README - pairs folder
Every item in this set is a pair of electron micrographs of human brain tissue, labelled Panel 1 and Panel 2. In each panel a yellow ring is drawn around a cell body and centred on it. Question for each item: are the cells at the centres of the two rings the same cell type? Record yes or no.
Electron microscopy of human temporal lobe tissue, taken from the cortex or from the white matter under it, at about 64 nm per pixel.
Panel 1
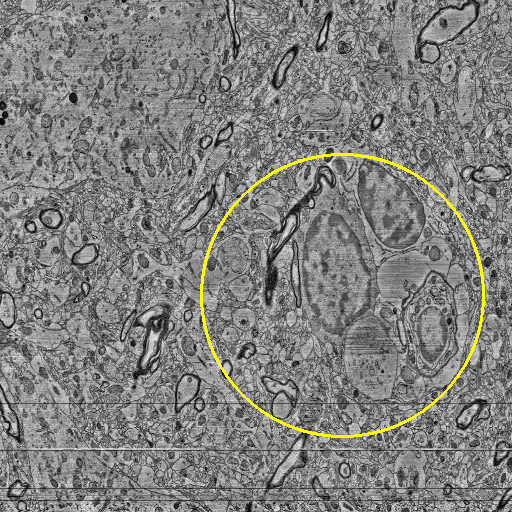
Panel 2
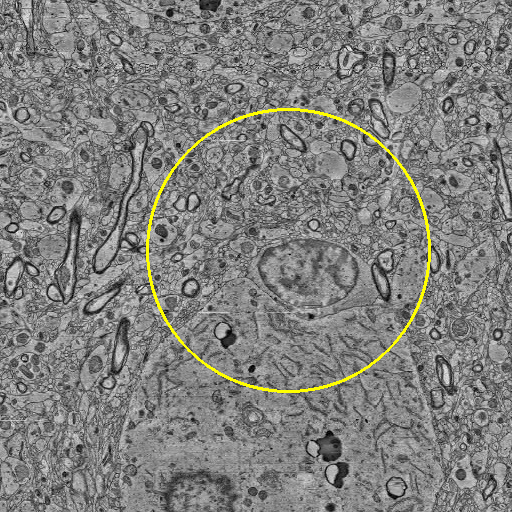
yes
